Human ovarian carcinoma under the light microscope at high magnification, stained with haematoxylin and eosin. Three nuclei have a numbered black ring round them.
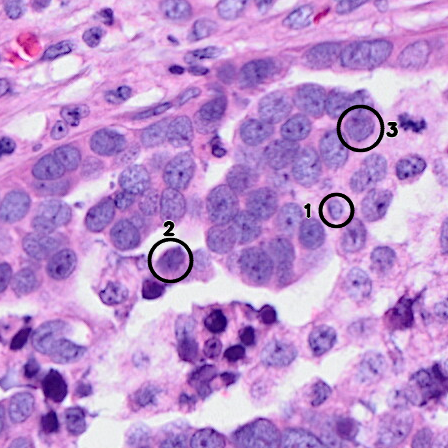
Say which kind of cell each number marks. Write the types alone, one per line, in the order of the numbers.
macrophage or monocyte
carcinoma cell
carcinoma cell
